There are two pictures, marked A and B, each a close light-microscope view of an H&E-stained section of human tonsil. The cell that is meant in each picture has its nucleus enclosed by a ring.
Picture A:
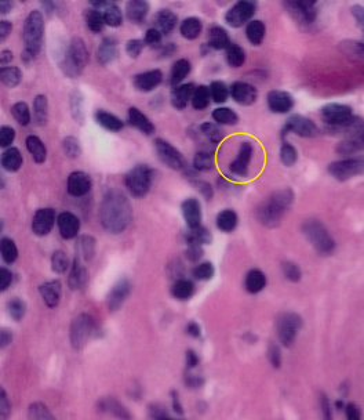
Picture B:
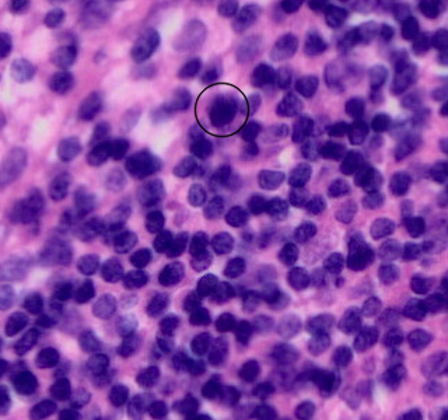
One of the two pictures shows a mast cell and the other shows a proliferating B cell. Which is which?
A: mast cell
B: proliferating B cell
